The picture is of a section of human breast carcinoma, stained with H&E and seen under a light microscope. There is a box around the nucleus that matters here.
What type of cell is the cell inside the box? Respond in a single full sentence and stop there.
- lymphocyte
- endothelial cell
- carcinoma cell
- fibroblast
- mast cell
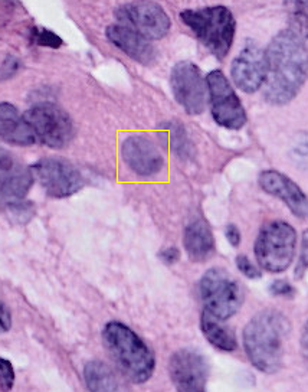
As far as its identity is concerned, the cell inside the box is a carcinoma cell.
